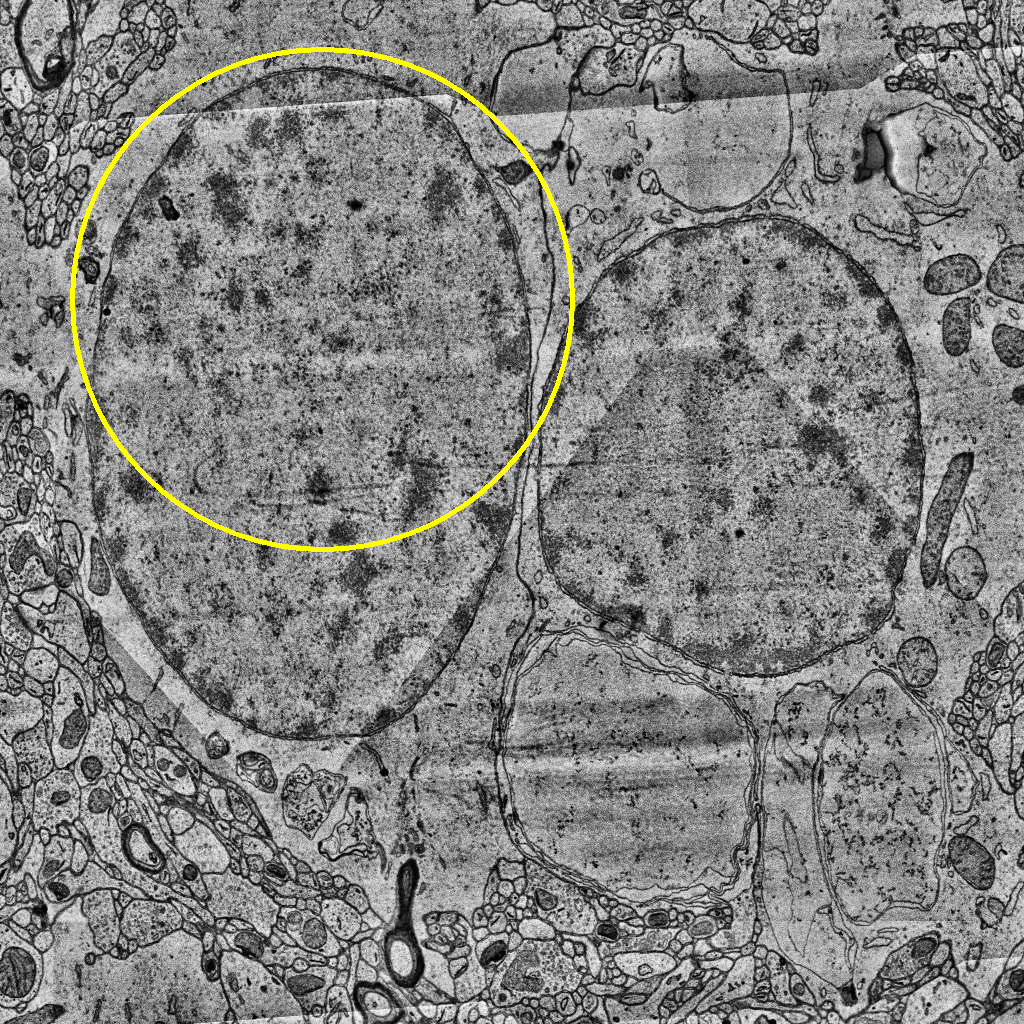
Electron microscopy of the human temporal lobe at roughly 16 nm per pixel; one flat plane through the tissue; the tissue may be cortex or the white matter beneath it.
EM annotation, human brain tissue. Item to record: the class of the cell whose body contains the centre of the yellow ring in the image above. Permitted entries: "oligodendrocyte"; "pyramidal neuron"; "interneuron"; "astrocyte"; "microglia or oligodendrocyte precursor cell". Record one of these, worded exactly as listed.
astrocyte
